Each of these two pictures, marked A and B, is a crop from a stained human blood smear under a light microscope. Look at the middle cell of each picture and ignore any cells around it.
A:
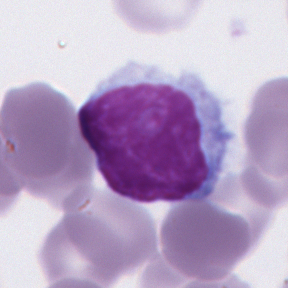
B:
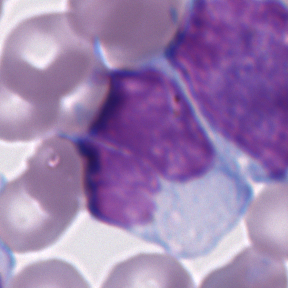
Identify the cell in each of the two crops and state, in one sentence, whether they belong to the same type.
No, crop A holds a lymphocyte, and a blast occupies crop B.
